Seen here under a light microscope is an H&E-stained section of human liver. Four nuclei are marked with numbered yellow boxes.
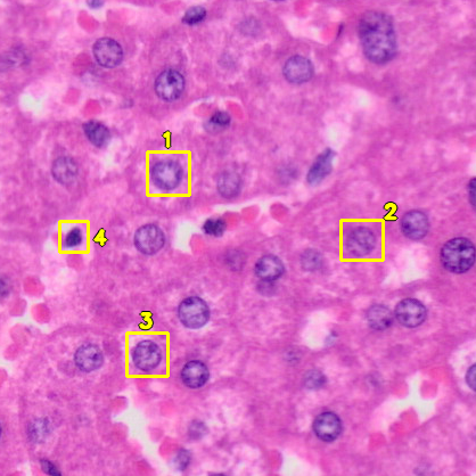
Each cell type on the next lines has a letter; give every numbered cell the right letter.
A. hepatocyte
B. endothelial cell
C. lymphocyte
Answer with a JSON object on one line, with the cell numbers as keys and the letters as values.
{"1": "A", "2": "A", "3": "A", "4": "C"}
